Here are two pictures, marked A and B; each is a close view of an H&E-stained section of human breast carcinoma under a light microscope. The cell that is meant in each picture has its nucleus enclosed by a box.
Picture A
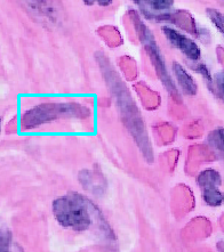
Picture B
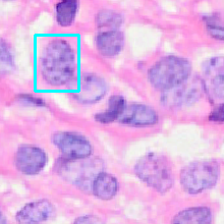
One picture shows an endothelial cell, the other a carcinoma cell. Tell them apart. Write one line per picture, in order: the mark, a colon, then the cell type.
A: endothelial cell
B: carcinoma cell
